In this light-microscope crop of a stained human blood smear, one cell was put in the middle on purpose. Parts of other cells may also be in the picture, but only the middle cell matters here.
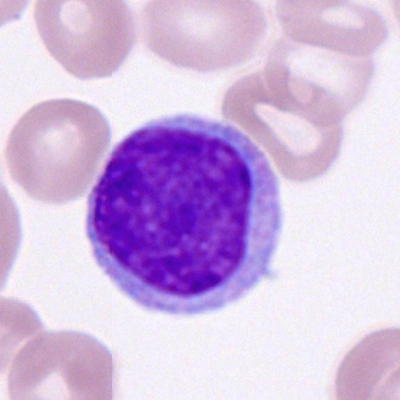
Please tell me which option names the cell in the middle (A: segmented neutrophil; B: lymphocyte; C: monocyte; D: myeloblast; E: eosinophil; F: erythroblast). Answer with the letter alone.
B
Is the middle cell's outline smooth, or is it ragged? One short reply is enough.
Thanks for asking; the cell edge is smooth and has no projections.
